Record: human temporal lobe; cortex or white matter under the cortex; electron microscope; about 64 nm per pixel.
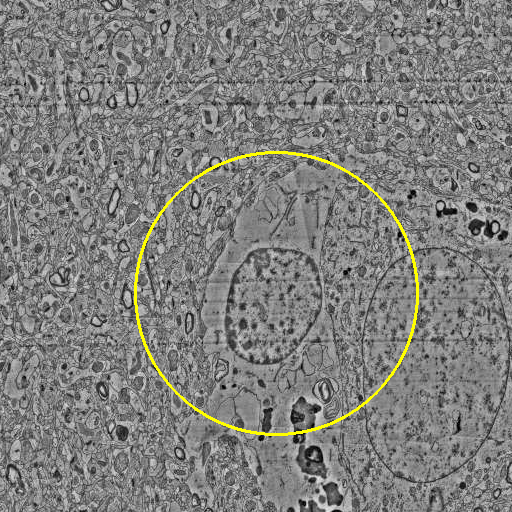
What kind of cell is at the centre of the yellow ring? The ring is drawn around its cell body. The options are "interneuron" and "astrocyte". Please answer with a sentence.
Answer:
The yellow ring marks the cell body of an astrocyte.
